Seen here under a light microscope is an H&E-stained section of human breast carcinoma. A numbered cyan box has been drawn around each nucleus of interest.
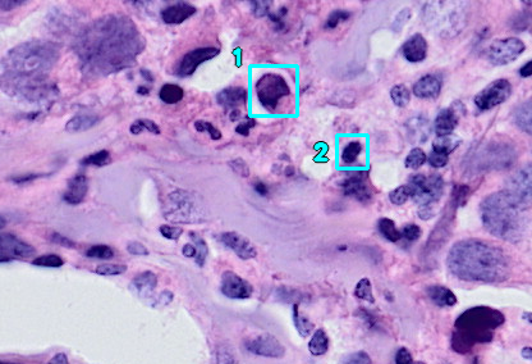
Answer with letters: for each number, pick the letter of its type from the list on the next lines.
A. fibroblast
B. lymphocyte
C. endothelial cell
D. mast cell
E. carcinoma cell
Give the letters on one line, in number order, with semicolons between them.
E; B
